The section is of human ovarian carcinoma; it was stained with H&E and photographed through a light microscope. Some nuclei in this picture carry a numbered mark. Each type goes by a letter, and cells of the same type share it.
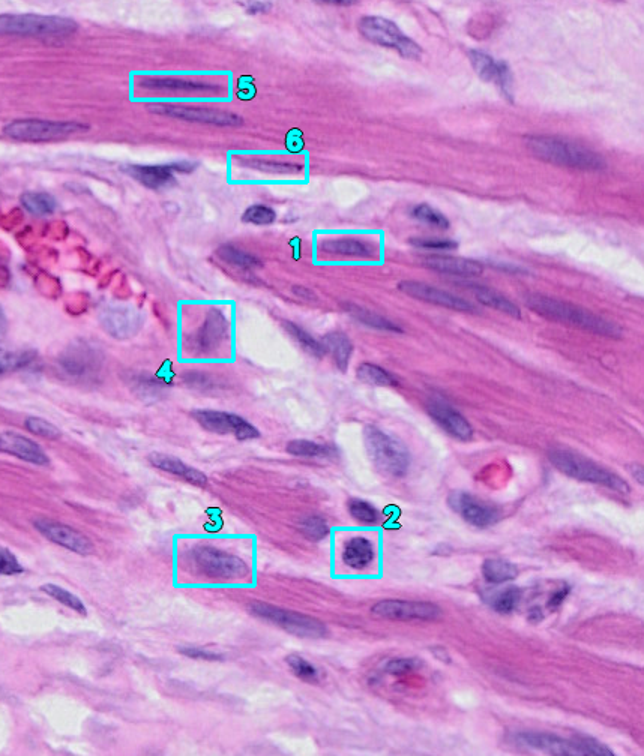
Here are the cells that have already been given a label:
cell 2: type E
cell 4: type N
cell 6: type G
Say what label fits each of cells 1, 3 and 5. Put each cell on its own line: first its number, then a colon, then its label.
1: type G
3: type G
5: type G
